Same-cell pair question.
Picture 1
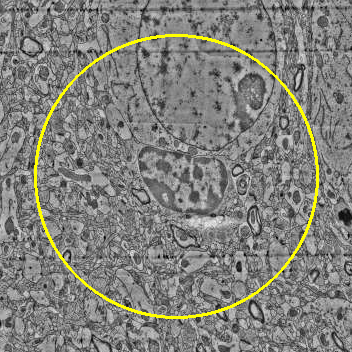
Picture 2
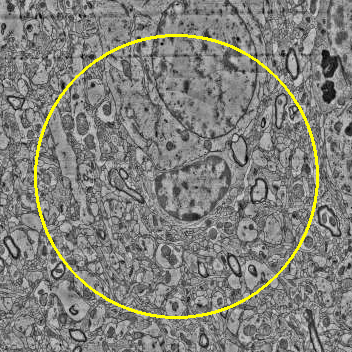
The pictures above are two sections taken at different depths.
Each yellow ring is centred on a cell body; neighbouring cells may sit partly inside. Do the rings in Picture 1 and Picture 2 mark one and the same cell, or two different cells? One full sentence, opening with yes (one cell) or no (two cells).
Yes, the two marked outlines come from one and the same cell.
